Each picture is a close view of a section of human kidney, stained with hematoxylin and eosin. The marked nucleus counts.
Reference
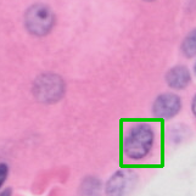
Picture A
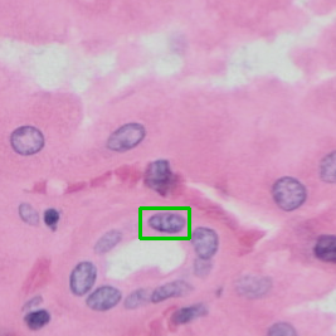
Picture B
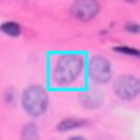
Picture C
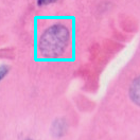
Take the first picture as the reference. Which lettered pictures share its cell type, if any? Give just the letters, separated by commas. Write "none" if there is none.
A, B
